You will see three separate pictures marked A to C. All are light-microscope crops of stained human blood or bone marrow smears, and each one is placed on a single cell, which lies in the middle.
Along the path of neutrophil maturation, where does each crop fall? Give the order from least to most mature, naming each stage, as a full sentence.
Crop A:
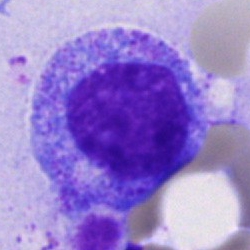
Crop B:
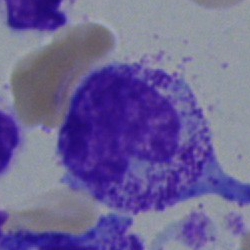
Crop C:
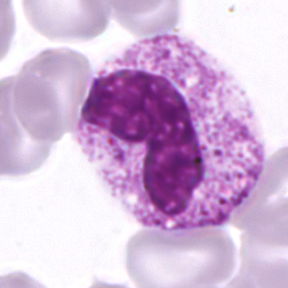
Ordered by maturity, from least to most, the crops are crop A (a promyelocyte), crop B (a metamyelocyte) and crop C (a band neutrophil).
